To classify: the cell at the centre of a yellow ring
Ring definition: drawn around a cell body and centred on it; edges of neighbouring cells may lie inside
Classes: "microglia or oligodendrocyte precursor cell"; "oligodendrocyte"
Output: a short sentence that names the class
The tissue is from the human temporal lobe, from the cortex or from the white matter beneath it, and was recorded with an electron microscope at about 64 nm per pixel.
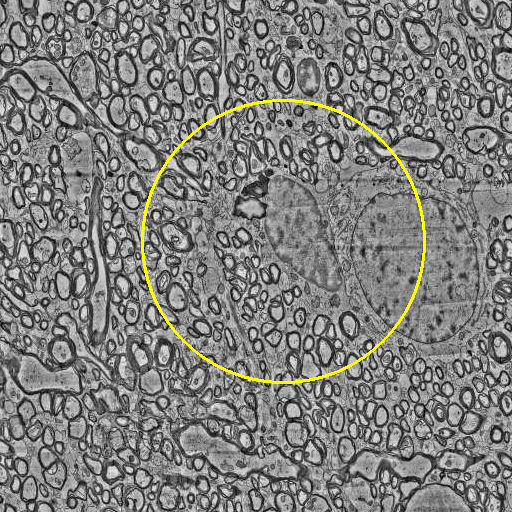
The ringed cell is an oligodendrocyte.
